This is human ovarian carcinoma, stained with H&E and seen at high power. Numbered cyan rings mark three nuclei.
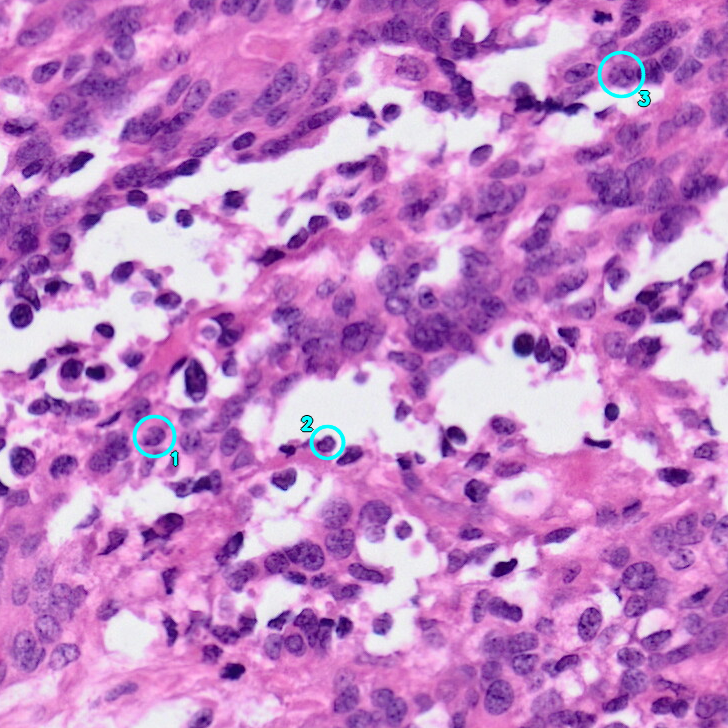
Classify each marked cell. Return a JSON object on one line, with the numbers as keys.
{"1": "macrophage or monocyte", "2": "carcinoma cell", "3": "carcinoma cell"}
